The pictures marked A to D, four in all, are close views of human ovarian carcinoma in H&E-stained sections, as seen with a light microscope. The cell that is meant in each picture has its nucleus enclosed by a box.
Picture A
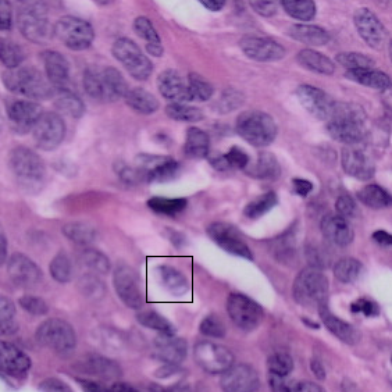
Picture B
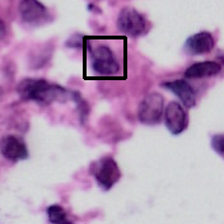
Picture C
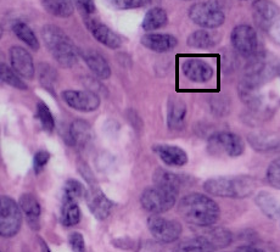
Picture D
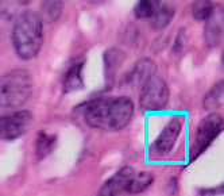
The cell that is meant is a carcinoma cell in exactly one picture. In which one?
D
